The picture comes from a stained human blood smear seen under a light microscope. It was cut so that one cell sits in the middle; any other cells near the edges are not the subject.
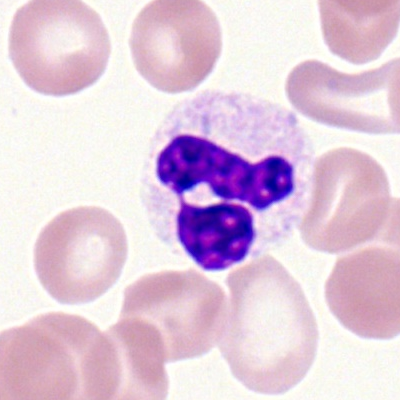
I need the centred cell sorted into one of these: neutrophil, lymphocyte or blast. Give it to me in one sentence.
In this smear crop, the middle cell is a neutrophil.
